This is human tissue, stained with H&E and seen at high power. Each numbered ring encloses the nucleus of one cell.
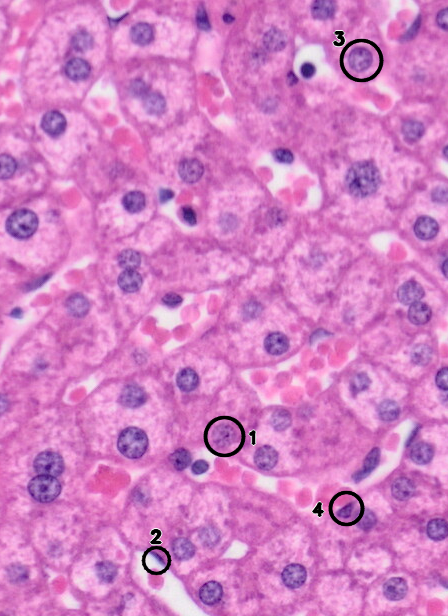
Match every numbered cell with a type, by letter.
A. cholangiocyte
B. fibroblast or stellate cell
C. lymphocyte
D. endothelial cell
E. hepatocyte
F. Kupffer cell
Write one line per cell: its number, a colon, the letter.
1: E
2: D
3: E
4: B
